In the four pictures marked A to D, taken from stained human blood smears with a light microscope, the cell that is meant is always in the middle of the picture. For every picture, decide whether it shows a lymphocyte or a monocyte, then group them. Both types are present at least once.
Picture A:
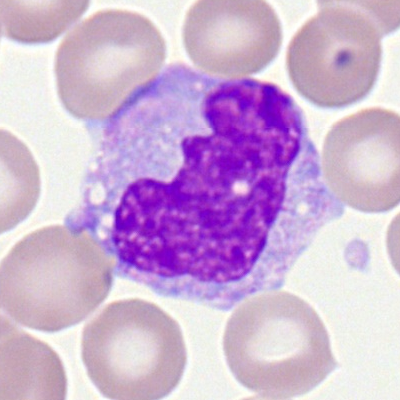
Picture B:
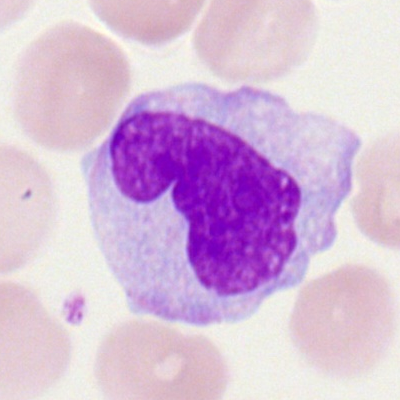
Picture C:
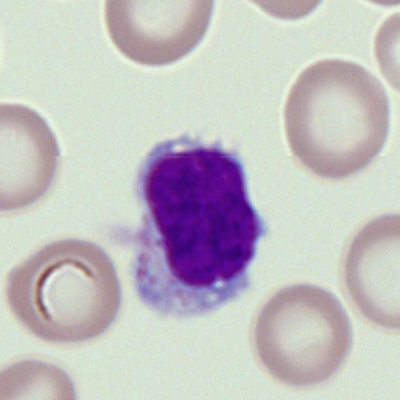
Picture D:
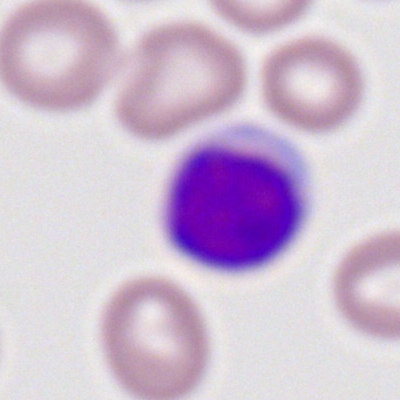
A: monocyte
B: monocyte
C: lymphocyte
D: lymphocyte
